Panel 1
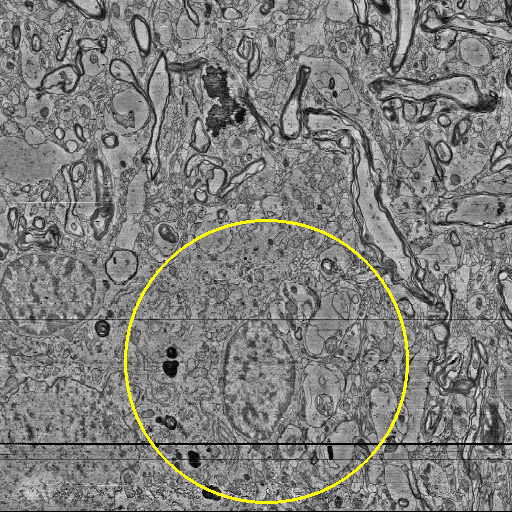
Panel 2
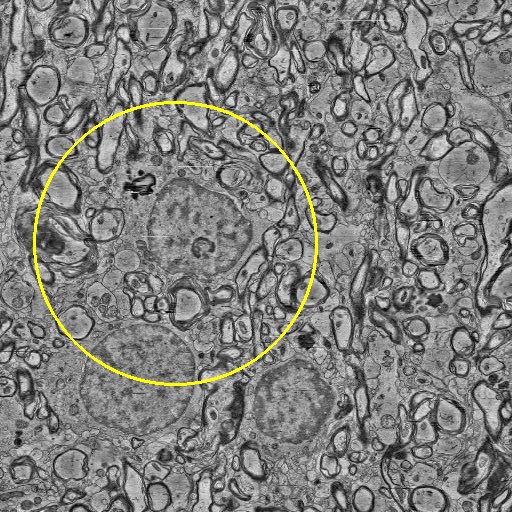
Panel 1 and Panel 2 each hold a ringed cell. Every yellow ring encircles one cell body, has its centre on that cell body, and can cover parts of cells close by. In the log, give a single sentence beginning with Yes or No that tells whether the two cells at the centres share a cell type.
Yes, in Panel 1 and Panel 2 the centred cells share a cell type.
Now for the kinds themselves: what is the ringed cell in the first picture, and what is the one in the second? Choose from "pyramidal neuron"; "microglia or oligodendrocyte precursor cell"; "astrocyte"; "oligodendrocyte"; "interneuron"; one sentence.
The cell in the first picture is an oligodendrocyte, and so is the one in the second.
